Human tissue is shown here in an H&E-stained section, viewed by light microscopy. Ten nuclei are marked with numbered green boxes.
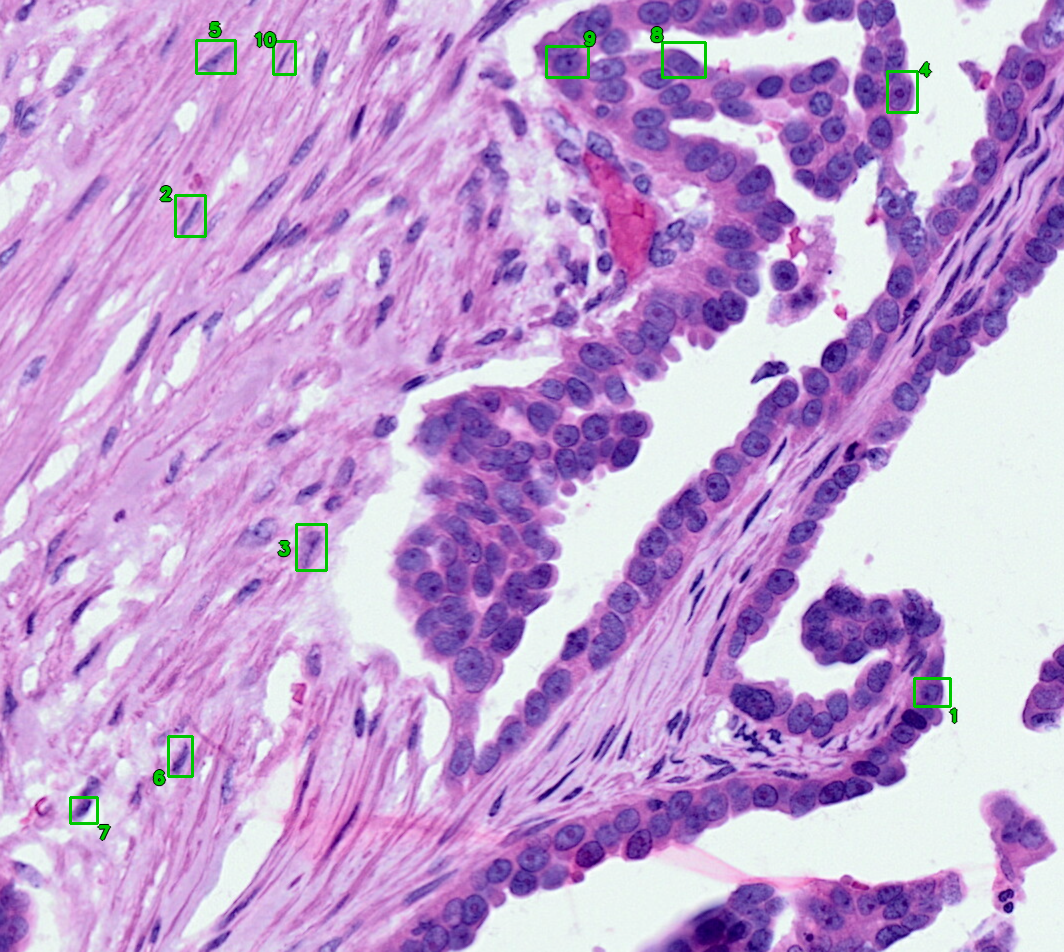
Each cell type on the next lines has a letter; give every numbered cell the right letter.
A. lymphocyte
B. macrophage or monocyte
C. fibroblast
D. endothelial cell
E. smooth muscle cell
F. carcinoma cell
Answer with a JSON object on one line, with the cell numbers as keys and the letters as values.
{"1": "F", "2": "C", "3": "C", "4": "F", "5": "C", "6": "C", "7": "C", "8": "F", "9": "F", "10": "C"}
